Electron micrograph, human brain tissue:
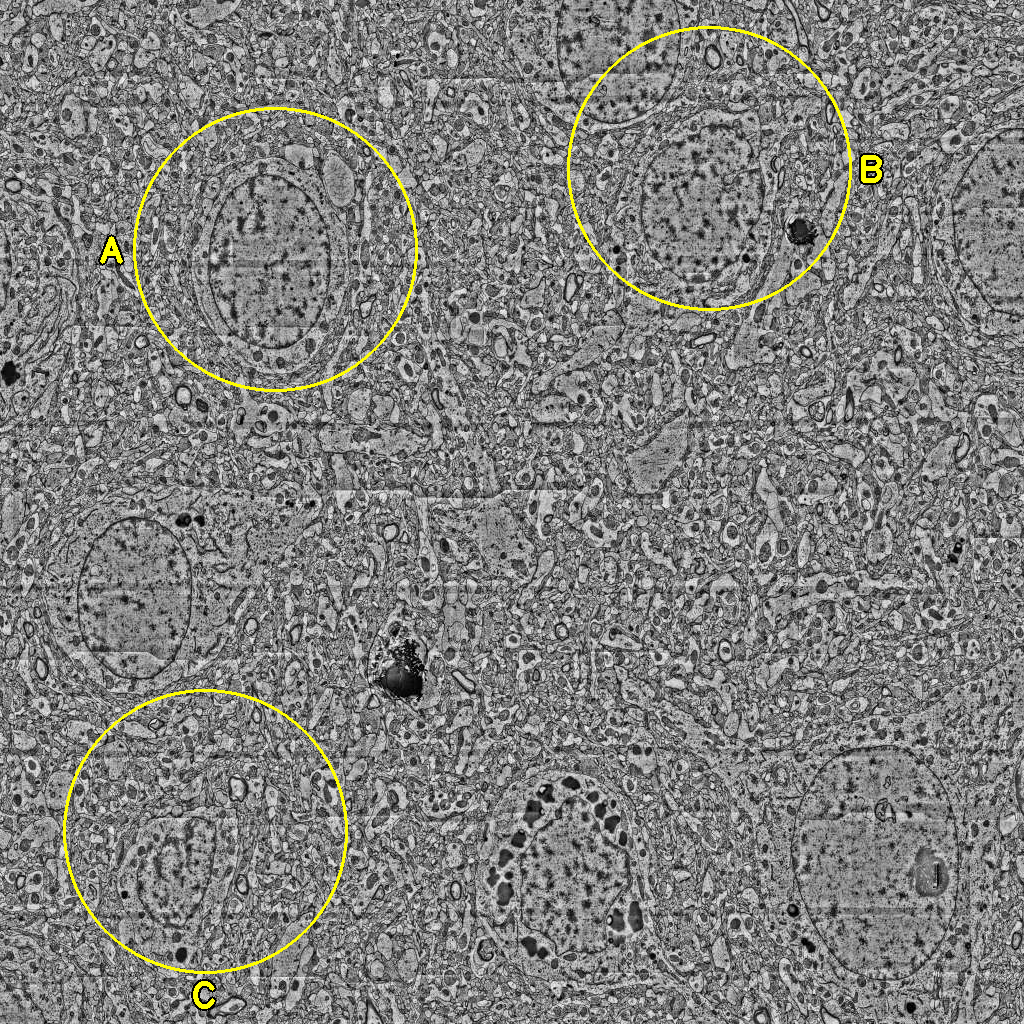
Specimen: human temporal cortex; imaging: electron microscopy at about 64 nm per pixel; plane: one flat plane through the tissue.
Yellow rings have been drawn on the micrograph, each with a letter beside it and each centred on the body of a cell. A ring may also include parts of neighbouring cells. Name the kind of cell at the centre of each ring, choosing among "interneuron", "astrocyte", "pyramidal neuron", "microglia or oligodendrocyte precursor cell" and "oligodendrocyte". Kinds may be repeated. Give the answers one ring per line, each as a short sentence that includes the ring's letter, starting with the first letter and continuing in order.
Ring A is placed on a pyramidal neuron.
Ring B is placed on an interneuron.
Ring C is placed on an interneuron.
